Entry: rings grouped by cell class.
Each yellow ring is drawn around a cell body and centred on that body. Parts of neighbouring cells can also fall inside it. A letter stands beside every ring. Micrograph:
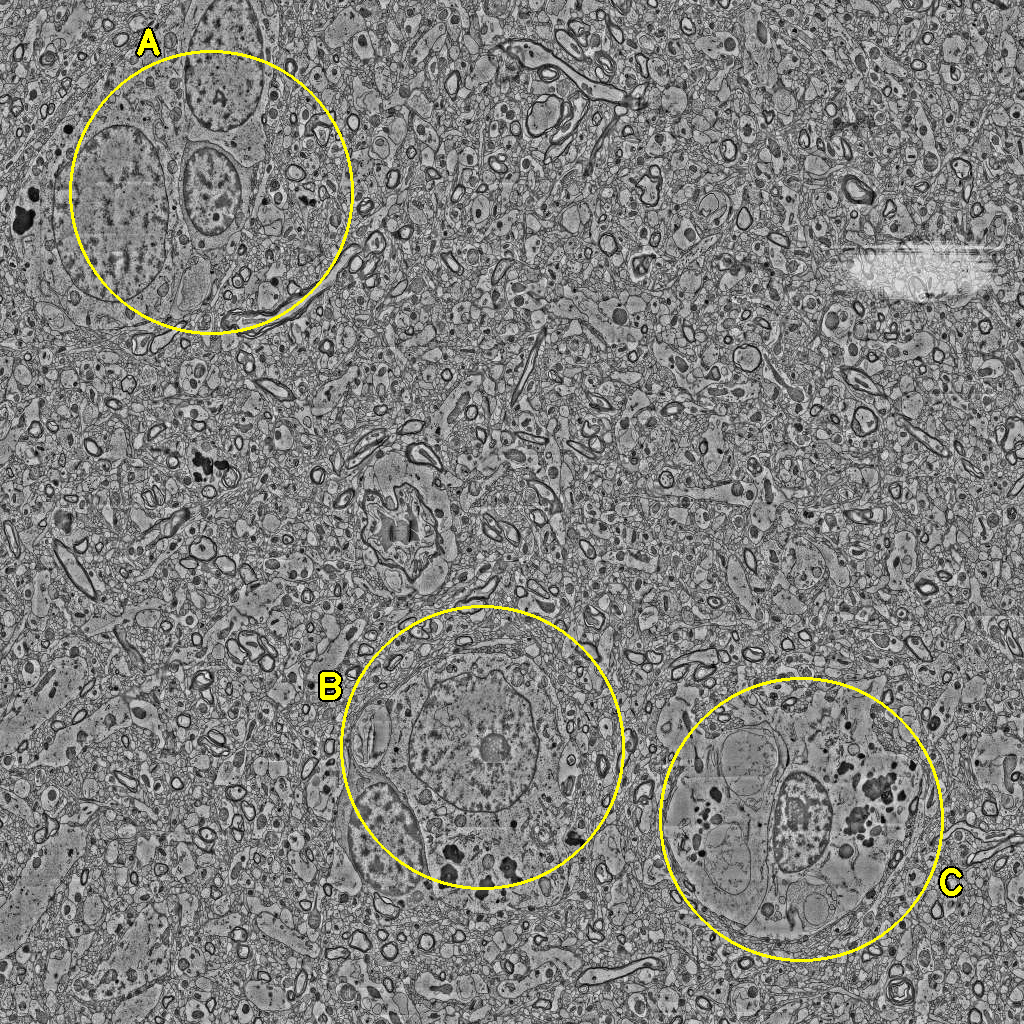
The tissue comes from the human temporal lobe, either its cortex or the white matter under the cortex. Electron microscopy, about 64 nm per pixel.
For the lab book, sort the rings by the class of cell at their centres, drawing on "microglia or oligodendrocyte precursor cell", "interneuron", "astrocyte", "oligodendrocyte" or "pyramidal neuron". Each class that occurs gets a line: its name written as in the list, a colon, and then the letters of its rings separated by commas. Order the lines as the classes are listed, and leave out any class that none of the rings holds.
astrocyte: C
oligodendrocyte: A
pyramidal neuron: B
